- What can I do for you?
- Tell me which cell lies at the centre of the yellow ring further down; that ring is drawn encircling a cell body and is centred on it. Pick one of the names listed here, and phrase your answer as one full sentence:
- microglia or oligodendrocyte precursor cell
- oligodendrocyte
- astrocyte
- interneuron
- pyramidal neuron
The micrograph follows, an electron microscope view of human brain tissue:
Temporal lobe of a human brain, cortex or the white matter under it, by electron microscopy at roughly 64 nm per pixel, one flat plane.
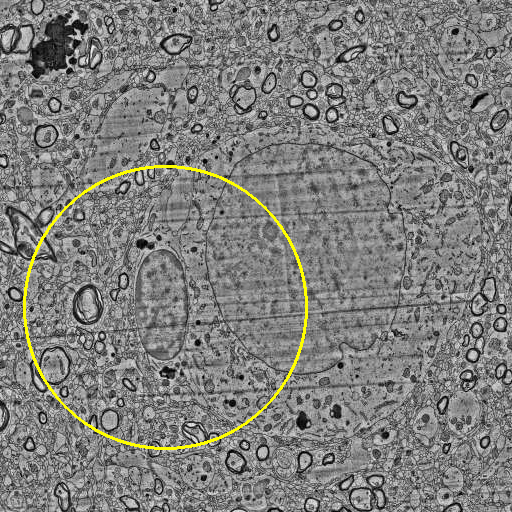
The cell whose body lies at the centre of the yellow ring is a microglial cell or oligodendrocyte precursor cell.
